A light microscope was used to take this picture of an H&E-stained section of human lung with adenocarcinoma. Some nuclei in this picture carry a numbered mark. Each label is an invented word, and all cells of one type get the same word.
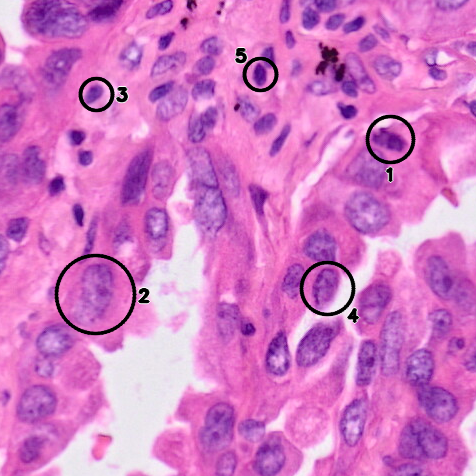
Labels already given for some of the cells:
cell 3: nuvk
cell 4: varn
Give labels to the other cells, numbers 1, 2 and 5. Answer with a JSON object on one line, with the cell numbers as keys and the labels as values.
{"1": "varn", "2": "varn", "5": "nuvk"}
